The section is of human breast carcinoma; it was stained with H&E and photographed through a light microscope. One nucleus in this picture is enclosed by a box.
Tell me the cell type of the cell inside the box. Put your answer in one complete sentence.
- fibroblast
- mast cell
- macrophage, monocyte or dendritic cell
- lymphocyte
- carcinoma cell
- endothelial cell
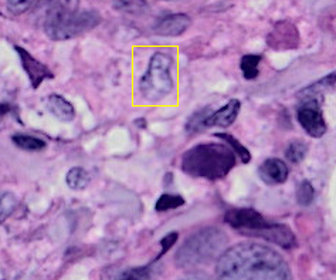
The identity of the cell inside the box: it is a macrophage, monocyte or dendritic cell.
